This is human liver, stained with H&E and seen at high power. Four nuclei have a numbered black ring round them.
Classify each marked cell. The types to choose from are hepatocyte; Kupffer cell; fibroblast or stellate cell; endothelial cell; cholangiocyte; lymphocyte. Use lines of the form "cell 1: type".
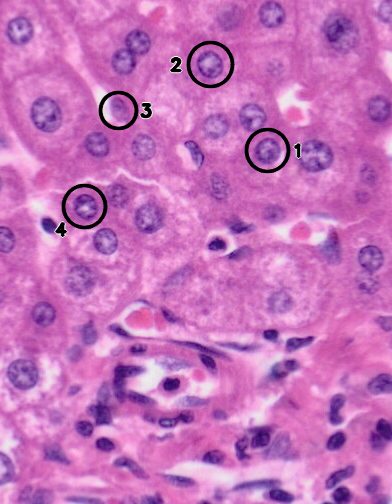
cell 1: hepatocyte
cell 2: hepatocyte
cell 3: Kupffer cell
cell 4: hepatocyte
